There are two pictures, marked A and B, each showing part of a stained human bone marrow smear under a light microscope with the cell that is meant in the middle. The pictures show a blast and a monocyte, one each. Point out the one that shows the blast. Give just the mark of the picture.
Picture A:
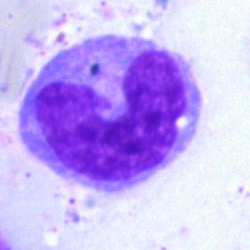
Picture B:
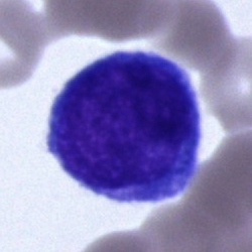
B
